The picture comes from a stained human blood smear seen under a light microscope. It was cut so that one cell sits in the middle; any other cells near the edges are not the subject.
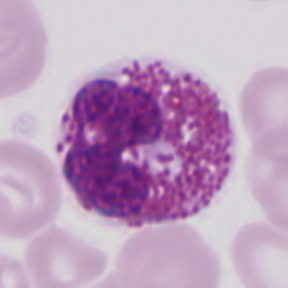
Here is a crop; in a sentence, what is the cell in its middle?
The middle of this crop is occupied by an eosinophil.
